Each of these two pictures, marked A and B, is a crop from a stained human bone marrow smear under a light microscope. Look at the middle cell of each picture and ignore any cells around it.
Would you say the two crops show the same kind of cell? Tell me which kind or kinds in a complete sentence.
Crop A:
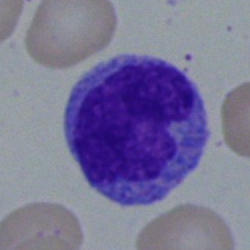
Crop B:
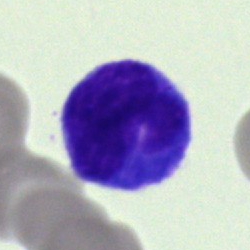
Yes, both crops show monocytes as the central cells.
